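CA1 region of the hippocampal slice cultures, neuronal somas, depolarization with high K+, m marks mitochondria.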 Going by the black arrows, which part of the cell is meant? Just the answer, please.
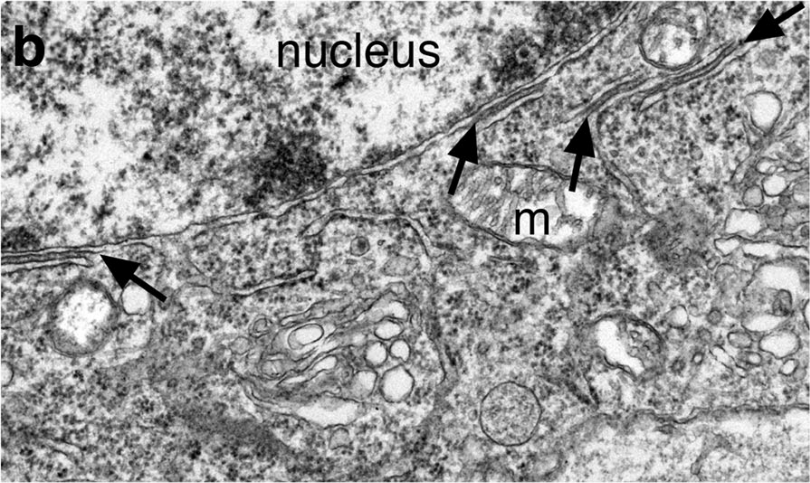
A: cisternal stacks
